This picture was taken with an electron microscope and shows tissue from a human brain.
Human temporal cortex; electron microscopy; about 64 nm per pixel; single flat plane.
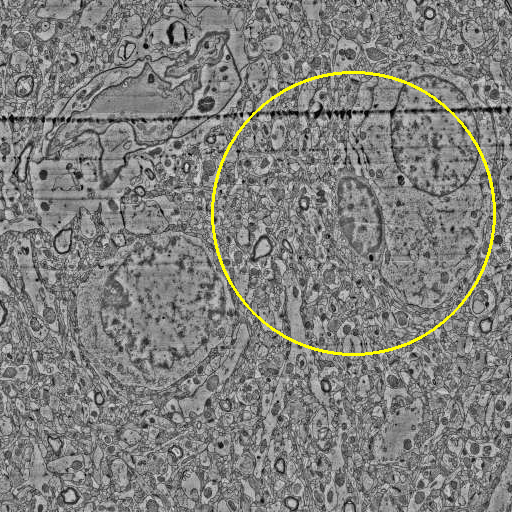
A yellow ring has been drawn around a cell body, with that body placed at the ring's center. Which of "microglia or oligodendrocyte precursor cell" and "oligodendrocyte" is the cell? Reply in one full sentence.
In this picture, an oligodendrocyte is the cell at the center of the yellow ring.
